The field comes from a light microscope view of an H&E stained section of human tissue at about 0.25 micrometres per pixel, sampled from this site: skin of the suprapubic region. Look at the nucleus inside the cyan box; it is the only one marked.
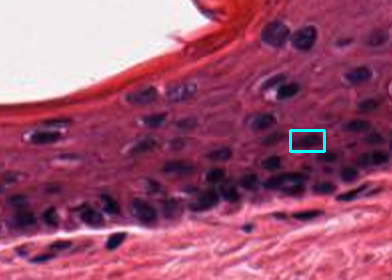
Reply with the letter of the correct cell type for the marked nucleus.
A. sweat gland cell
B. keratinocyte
B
